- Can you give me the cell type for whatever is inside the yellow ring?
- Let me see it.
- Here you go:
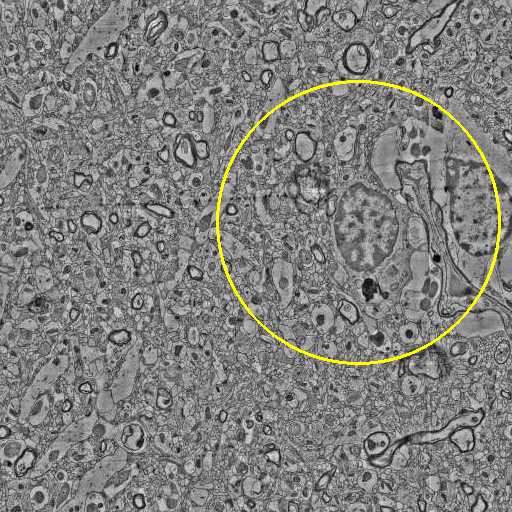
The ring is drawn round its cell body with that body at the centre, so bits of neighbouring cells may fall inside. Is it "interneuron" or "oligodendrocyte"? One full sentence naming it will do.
The cell body in the middle of the ring in this picture belongs to an oligodendrocyte.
